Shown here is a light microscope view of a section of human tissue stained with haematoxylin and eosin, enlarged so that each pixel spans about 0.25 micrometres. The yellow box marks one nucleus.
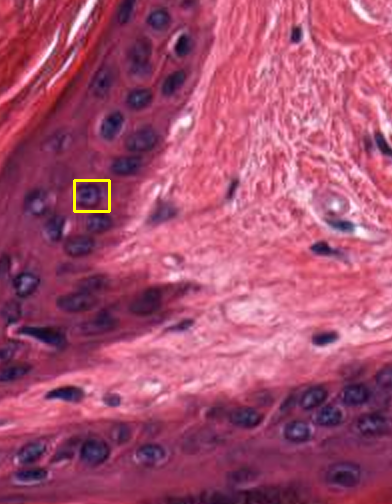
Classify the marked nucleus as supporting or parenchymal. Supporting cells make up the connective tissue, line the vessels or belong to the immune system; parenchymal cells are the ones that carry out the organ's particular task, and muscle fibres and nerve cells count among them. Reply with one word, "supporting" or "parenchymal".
parenchymal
